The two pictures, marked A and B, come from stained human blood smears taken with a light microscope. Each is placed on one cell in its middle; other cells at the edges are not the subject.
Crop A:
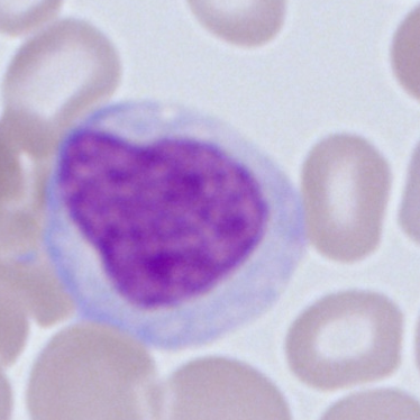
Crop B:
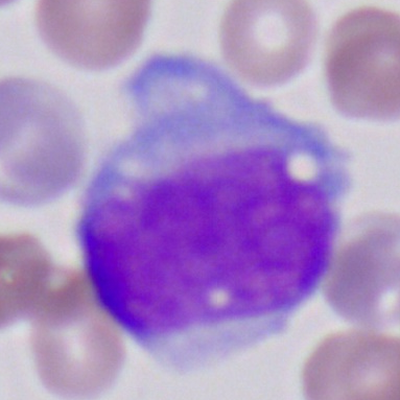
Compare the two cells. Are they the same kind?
yes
